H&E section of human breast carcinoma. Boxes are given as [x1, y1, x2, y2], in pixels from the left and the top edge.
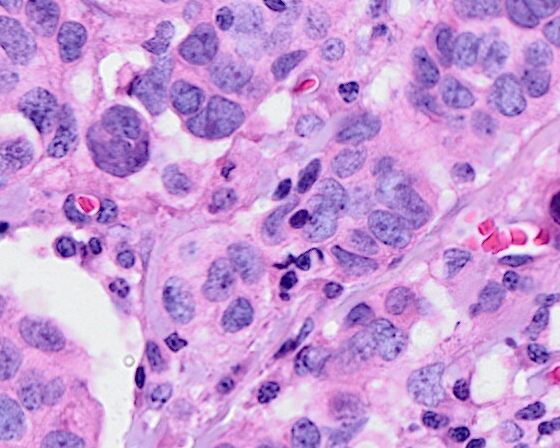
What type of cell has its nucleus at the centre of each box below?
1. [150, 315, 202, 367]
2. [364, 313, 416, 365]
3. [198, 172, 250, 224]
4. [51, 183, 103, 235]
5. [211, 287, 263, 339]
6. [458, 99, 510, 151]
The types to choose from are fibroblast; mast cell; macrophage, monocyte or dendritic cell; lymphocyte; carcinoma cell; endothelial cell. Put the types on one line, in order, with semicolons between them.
lymphocyte; carcinoma cell; macrophage, monocyte or dendritic cell; endothelial cell; carcinoma cell; carcinoma cell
